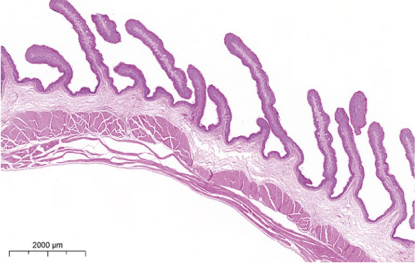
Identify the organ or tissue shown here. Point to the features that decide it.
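Rumen epithelium. Tall finger-like projections of the mucosa lined by a stratified purple-staining epithelium. A thick band of pink smooth muscle lies beneath a pale connective tissue layer.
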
